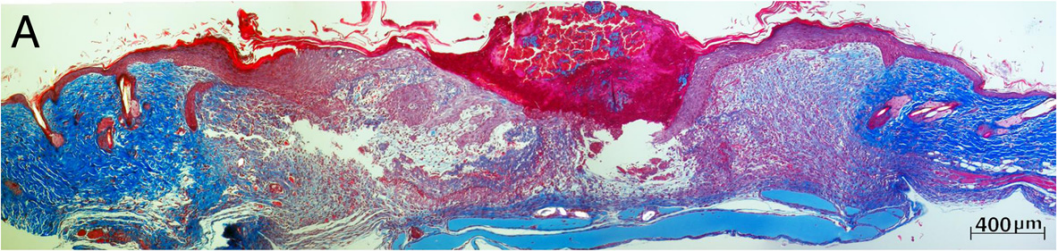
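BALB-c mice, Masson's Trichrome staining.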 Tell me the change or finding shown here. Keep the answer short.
wounds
